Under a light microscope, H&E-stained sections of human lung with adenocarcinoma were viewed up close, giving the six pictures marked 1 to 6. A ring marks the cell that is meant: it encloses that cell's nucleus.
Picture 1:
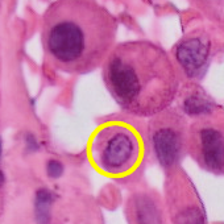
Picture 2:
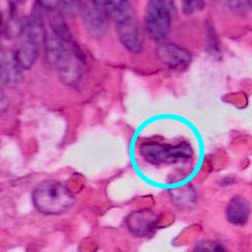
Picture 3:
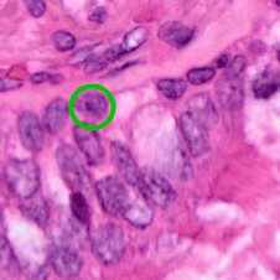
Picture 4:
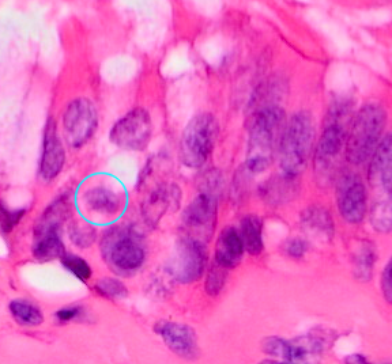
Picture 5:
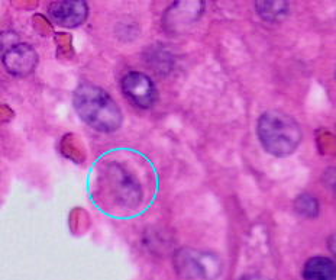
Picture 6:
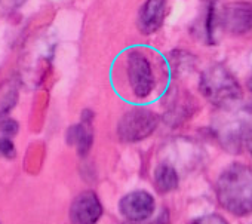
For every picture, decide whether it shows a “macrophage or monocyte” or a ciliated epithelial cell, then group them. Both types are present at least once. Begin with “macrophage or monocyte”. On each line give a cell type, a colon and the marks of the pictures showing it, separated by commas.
macrophage or monocyte: 1, 2, 5
ciliated epithelial cell: 3, 4, 6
